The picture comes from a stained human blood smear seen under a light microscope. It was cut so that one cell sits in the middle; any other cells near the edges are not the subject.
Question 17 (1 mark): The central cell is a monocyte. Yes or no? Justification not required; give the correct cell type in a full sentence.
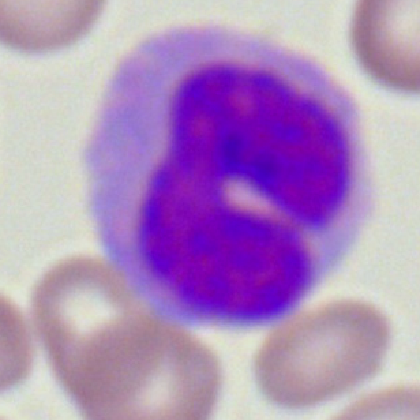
Yes, the cell at the midpoint of the crop is a monocyte.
